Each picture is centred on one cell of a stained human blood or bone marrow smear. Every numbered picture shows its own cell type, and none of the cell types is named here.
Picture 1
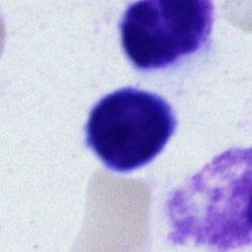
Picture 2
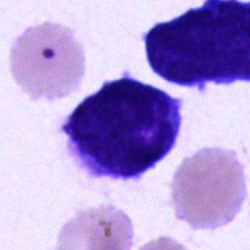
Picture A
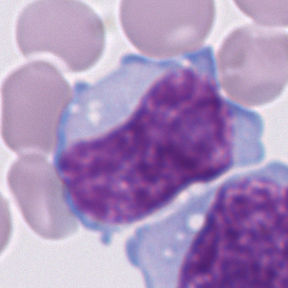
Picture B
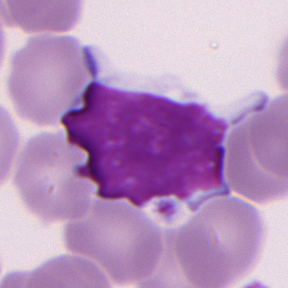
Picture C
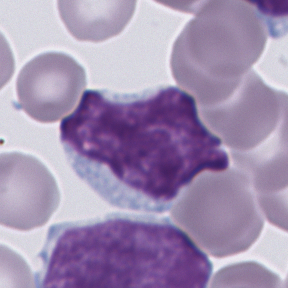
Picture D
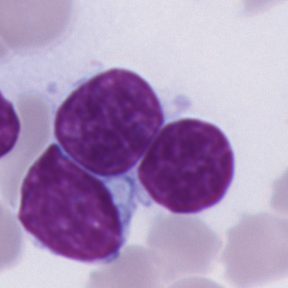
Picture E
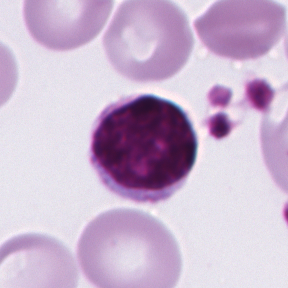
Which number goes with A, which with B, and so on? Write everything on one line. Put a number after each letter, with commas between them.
A 2, B 1, C 1, D 2, E 1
